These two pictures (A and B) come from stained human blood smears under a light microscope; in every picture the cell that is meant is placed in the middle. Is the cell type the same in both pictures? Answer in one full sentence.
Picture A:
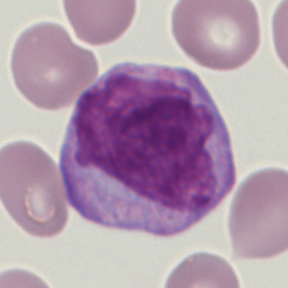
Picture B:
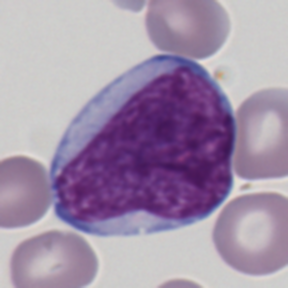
No. Picture A shows an atypical promyelocyte, but picture B shows a myeloblast.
